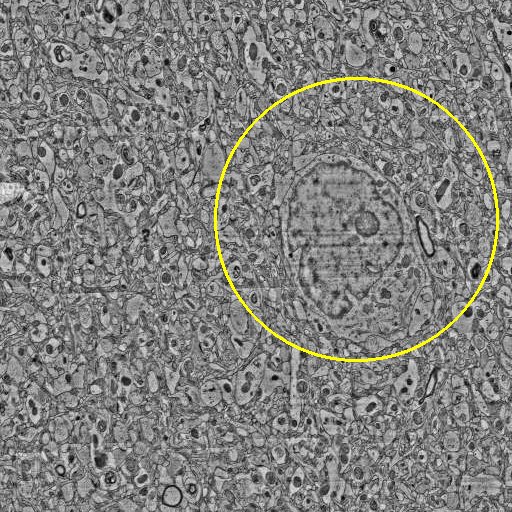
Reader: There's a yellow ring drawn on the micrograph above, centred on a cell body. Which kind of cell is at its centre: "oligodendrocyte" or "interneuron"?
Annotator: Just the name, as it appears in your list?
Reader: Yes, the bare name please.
interneuron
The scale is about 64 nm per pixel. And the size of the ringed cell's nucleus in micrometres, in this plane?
In this plane, approximately 10 by 7 micrometers.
